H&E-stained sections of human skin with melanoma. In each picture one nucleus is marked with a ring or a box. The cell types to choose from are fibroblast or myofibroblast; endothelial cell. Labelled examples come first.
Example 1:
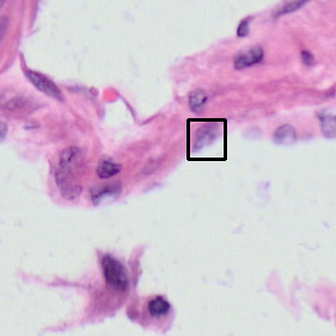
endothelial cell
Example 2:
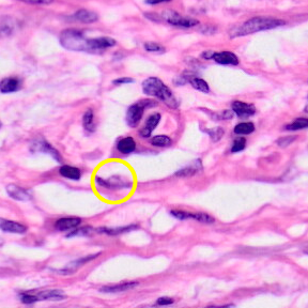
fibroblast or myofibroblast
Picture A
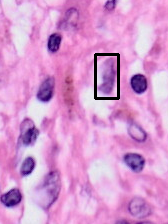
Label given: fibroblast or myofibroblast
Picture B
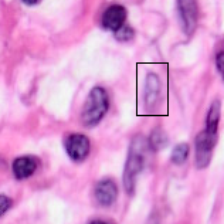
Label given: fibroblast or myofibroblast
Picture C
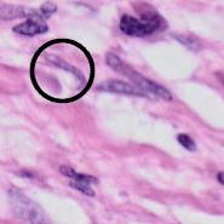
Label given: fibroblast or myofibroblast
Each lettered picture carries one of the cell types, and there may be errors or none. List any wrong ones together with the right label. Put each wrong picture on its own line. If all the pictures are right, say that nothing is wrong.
All correct.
